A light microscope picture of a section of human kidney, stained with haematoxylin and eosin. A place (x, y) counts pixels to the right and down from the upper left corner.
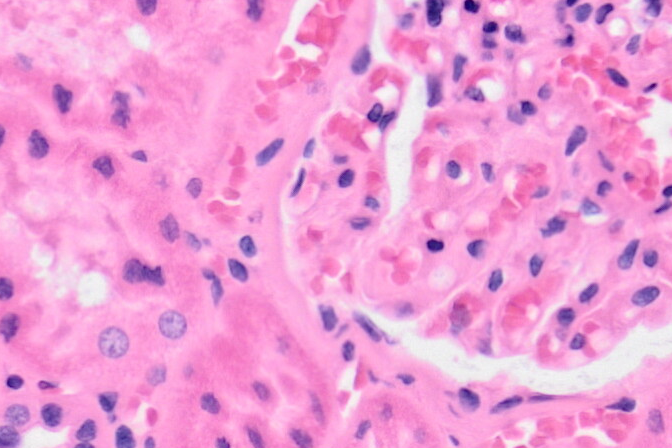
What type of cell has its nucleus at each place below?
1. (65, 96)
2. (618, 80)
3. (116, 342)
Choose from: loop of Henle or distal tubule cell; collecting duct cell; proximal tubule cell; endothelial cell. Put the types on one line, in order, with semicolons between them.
proximal tubule cell; endothelial cell; proximal tubule cell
